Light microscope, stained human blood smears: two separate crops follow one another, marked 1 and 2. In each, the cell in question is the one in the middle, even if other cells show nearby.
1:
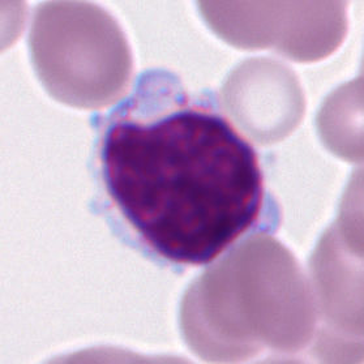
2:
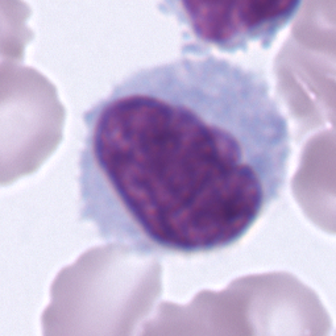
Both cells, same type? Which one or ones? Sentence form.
No, crop 1 and crop 2 show a large granular lymphocyte and a hairy cell respectively.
